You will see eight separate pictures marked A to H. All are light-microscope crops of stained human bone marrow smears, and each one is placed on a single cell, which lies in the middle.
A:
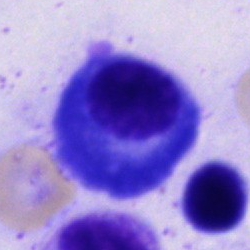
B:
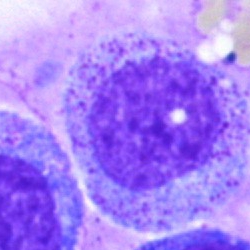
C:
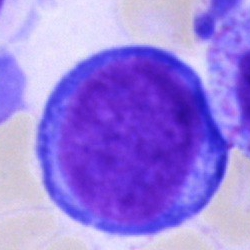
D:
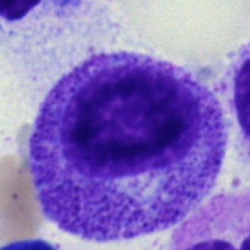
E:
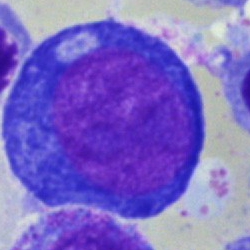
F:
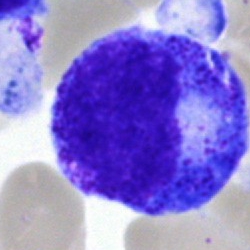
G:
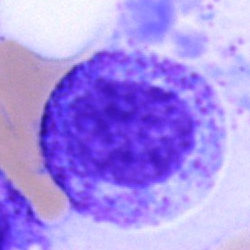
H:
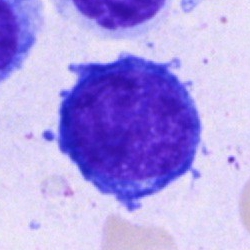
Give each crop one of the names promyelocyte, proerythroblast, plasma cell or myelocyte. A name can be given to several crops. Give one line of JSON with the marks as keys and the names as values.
{"A": "plasma cell", "B": "myelocyte", "C": "proerythroblast", "D": "myelocyte", "E": "proerythroblast", "F": "promyelocyte", "G": "promyelocyte", "H": "proerythroblast"}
